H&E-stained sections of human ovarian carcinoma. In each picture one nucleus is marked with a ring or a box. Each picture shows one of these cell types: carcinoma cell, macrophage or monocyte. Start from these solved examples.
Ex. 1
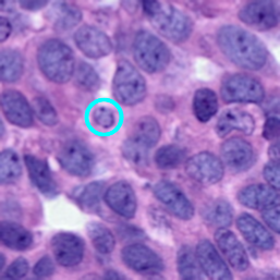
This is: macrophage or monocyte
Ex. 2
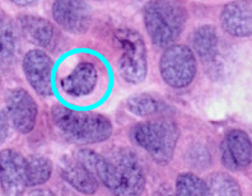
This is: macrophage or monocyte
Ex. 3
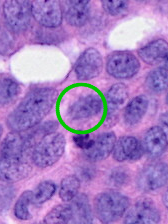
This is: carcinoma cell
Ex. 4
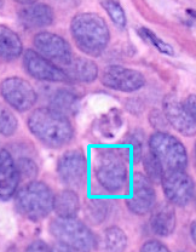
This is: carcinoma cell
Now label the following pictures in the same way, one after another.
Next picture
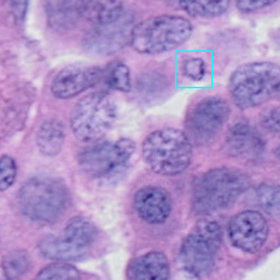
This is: macrophage or monocyte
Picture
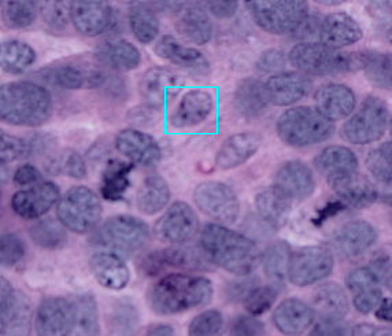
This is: macrophage or monocyte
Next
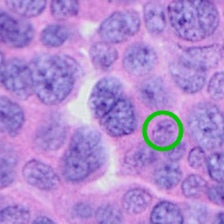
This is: carcinoma cell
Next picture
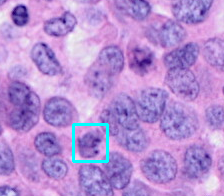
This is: macrophage or monocyte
